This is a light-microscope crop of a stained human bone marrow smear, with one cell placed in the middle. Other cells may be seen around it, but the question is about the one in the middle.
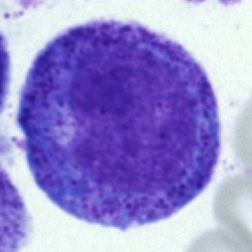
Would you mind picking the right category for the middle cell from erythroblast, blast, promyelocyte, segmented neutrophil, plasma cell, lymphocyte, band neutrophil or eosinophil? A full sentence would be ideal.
At the middle of the frame sits a promyelocyte.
